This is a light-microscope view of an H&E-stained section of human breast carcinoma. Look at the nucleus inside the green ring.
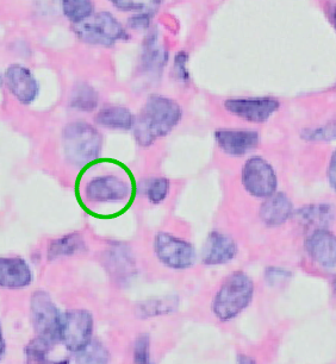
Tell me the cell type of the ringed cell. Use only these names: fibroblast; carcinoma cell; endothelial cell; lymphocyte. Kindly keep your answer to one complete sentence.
Microscopically, the ringed cell is categorized as a carcinoma cell.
